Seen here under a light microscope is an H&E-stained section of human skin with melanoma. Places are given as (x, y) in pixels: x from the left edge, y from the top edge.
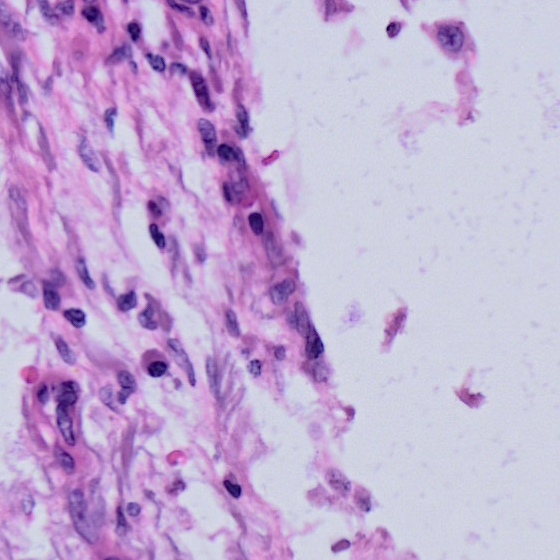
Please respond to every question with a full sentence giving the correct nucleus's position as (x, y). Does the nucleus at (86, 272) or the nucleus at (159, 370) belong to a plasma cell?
Rather than the other nucleus, the one at (159, 370) belongs to a plasma cell.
